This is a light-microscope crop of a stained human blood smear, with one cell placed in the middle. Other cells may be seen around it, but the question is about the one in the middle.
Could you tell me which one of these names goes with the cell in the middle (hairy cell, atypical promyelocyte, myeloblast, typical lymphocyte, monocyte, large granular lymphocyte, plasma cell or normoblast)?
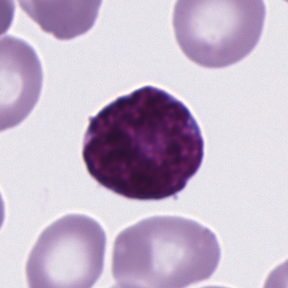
myeloblast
